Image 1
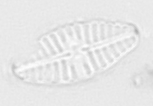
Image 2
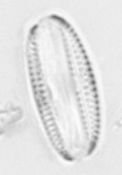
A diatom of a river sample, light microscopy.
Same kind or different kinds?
Different: the first is Planothidium, the second Amphora.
